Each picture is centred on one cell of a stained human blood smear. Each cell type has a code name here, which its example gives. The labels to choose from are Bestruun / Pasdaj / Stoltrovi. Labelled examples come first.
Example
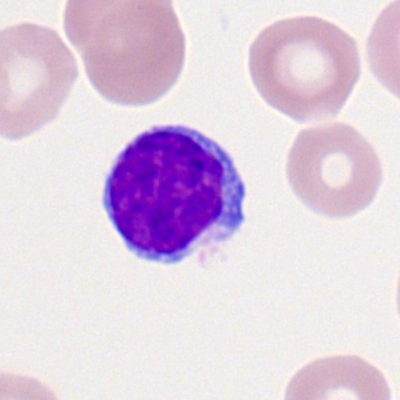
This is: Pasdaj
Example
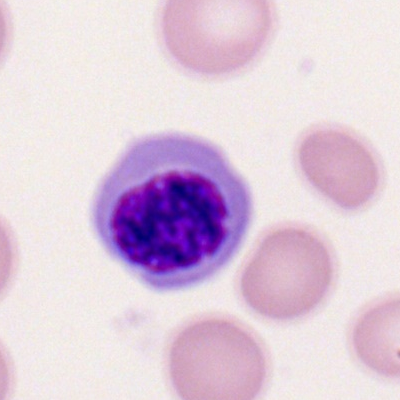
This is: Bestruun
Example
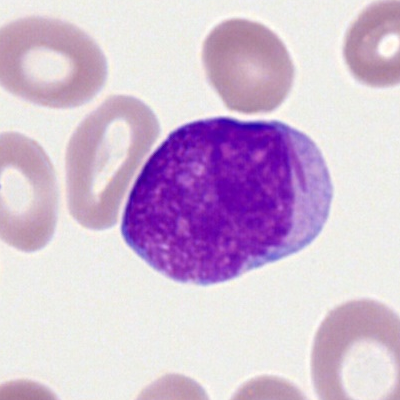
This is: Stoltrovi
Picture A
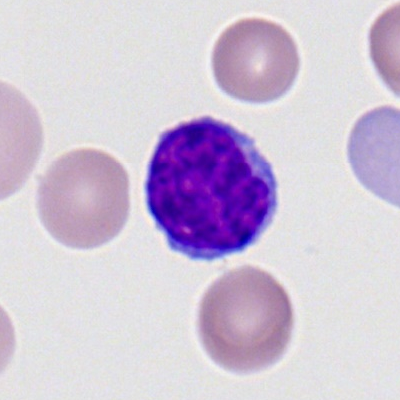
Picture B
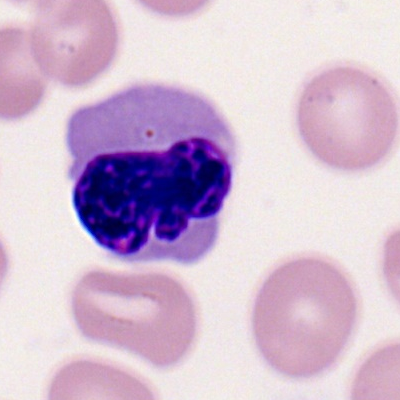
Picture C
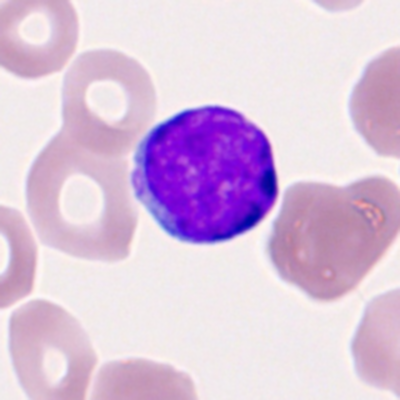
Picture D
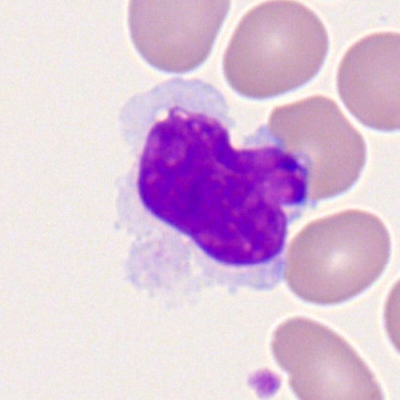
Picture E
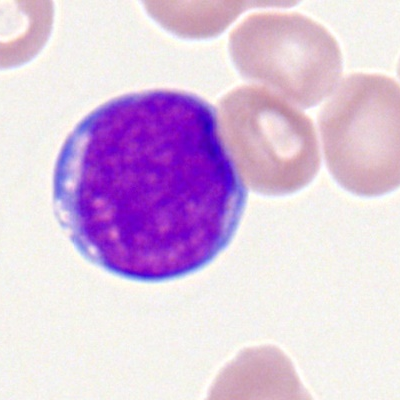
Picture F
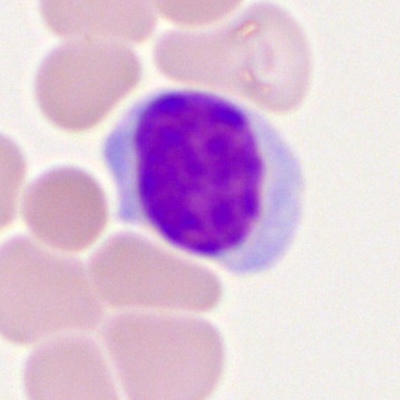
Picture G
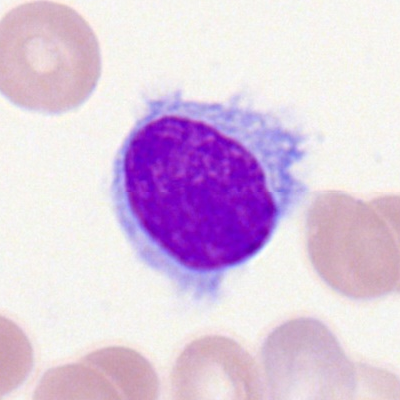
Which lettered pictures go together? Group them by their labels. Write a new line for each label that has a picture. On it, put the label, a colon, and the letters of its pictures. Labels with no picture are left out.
Bestruun: B
Pasdaj: A, C, D, F, G
Stoltrovi: E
